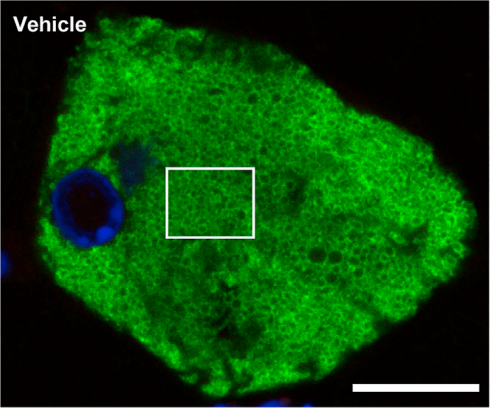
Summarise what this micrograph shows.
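The network has many small dark round holes through it. A blue nucleus sits at the left edge of the fibre.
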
